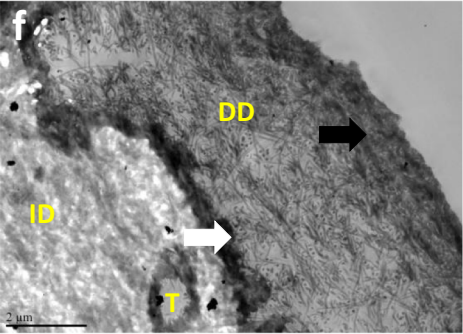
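A demineralized dentin layer lies over pale, granular intact dentin, with a tubule cut in cross-section near their border. The demineralized layer contains many loosely arranged, rod-like fibrils. A dark, dense band runs along its lower boundary with the intact dentin, and another runs along its upper surface.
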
